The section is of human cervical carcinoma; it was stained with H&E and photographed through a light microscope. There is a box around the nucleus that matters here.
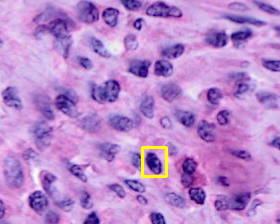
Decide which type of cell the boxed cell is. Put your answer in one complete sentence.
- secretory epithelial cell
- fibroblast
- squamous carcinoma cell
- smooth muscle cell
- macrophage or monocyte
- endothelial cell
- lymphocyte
In cellular terms, the boxed cell is a lymphocyte.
